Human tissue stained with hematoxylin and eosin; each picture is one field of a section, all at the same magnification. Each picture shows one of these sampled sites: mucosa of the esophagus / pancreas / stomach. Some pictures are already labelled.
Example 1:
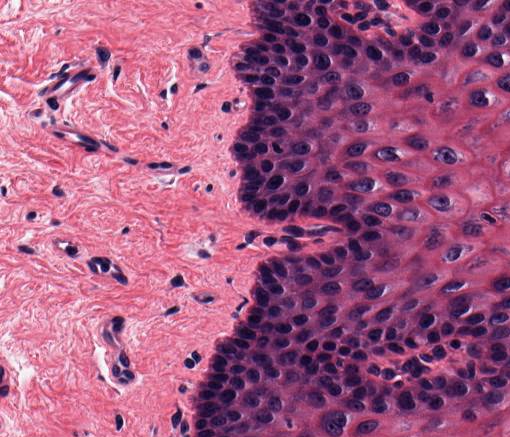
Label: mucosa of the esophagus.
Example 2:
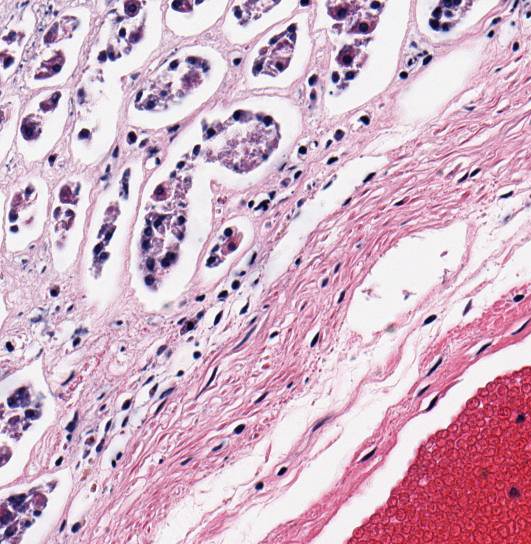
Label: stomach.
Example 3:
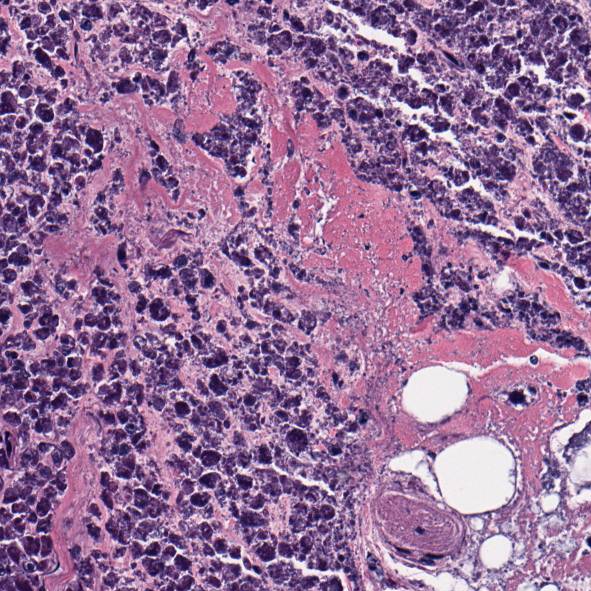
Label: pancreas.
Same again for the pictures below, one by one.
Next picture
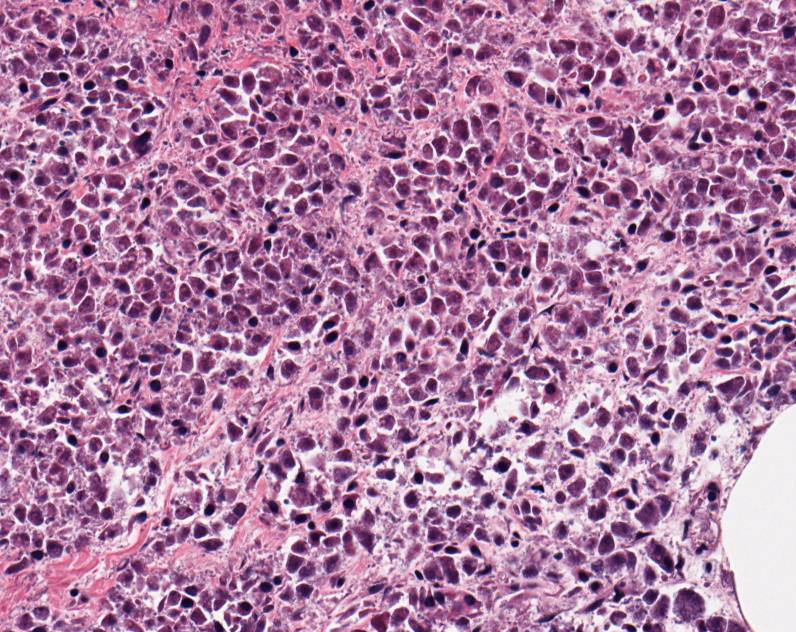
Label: pancreas.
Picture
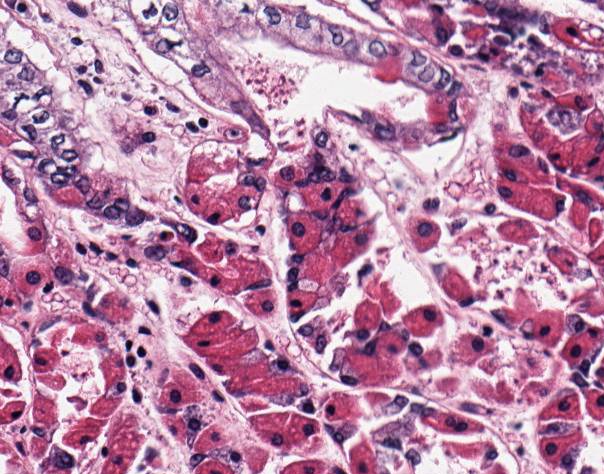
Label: stomach.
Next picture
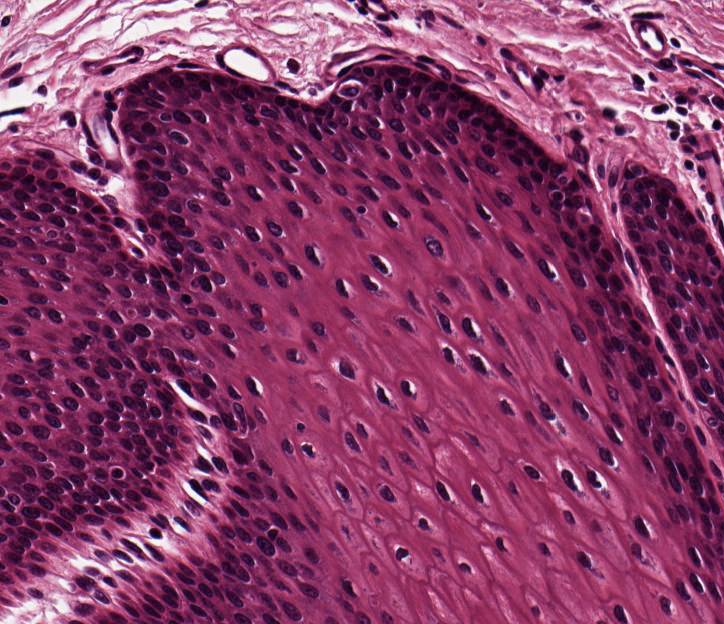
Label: mucosa of the esophagus.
